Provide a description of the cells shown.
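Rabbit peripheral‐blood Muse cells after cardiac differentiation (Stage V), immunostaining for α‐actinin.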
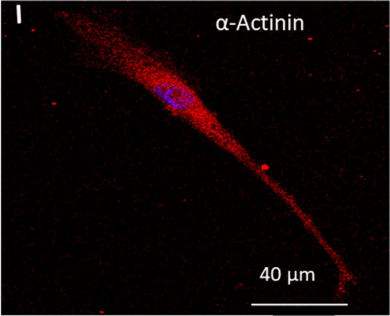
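A single elongated cultured cell is shown, with an oval blue nucleus in its wider upper portion. Granular red signal spreads through the cytoplasm. The cell body narrows into a long tapering extension running toward the lower right.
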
